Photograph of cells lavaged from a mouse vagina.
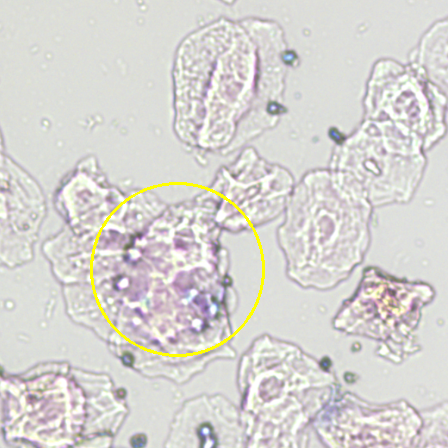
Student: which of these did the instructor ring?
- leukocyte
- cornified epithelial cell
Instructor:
The cell I ringed is a cornified epithelial cell.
